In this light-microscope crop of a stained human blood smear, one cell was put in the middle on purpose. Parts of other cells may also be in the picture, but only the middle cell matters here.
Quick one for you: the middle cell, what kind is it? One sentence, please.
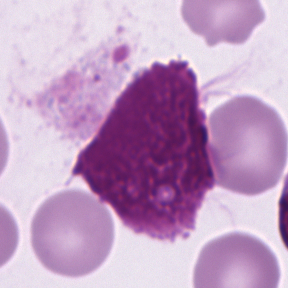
The centrally placed cell is classified as a smudge cell.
